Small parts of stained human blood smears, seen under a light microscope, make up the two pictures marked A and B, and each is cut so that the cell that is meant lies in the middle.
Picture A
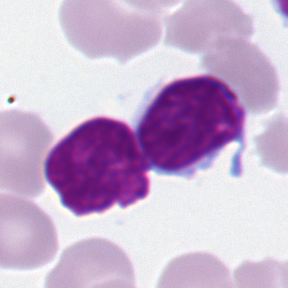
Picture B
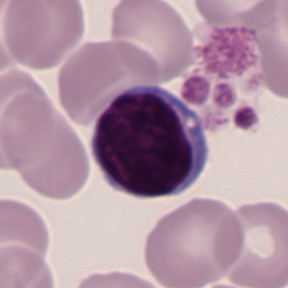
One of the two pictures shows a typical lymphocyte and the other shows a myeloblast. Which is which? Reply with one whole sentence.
The cell in picture A is a myeloblast, and the one in picture B is a typical lymphocyte.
